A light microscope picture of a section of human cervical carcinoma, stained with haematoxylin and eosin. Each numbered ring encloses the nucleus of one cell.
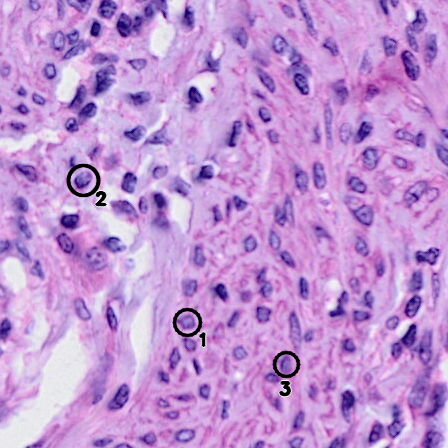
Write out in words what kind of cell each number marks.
Cell 1 is a smooth muscle cell, cell 2 is a lymphocyte and cell 3 is a smooth muscle cell.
